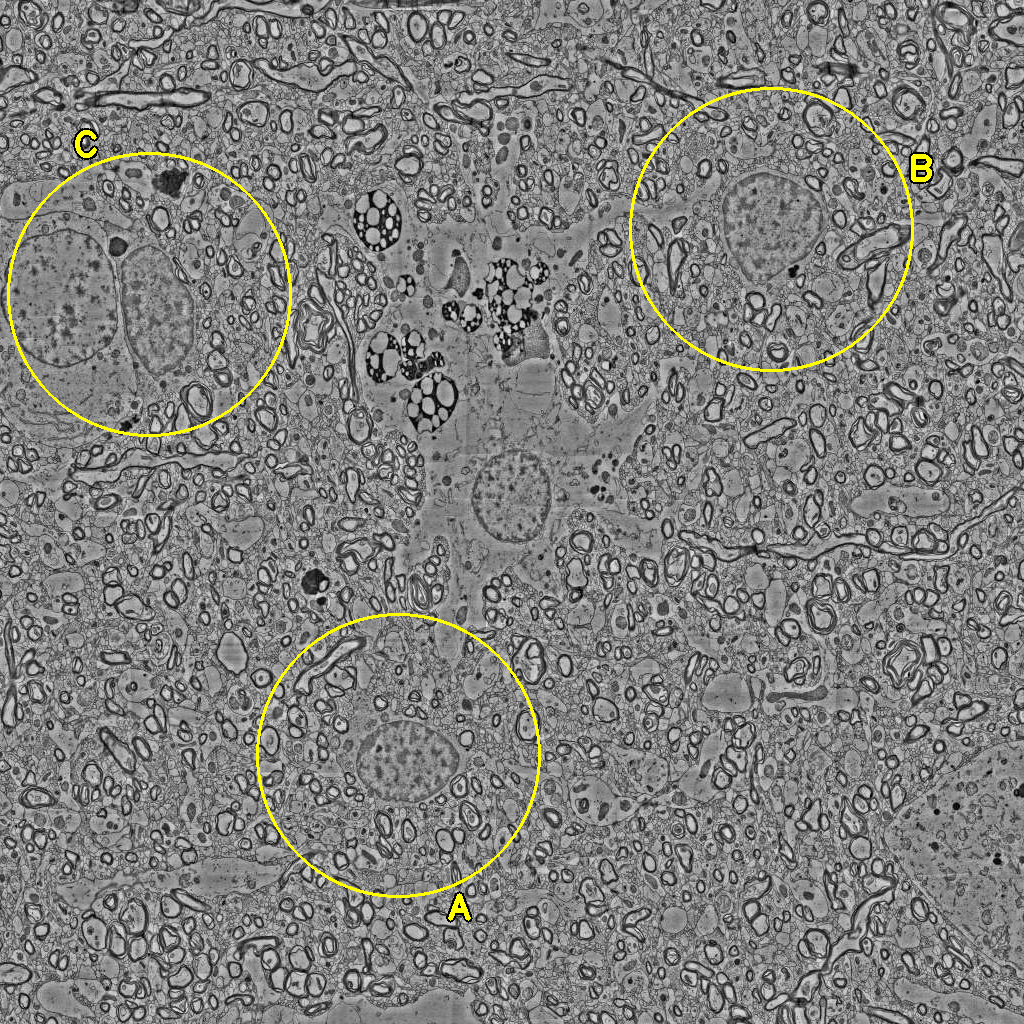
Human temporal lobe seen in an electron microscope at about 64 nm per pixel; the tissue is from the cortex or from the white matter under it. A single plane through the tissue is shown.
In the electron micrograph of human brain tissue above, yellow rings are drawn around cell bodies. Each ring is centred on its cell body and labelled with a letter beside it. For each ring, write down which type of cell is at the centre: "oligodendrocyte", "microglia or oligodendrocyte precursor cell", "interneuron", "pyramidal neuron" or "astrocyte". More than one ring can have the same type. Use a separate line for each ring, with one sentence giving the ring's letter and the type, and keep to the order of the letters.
At the centre of ring A there is an oligodendrocyte.
At the centre of ring B there is an oligodendrocyte.
At the centre of ring C there is an oligodendrocyte.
